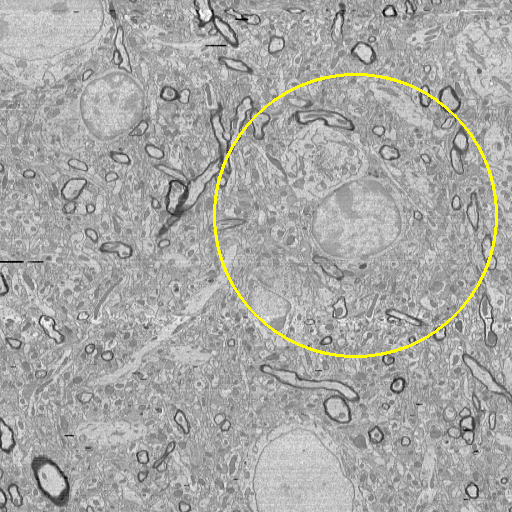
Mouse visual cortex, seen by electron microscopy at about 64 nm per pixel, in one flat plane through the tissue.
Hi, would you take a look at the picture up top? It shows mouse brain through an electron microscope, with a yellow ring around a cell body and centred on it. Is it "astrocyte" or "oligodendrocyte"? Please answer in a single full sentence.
The best fit for the cell in the middle of the ring is an oligodendrocyte, I reckon.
